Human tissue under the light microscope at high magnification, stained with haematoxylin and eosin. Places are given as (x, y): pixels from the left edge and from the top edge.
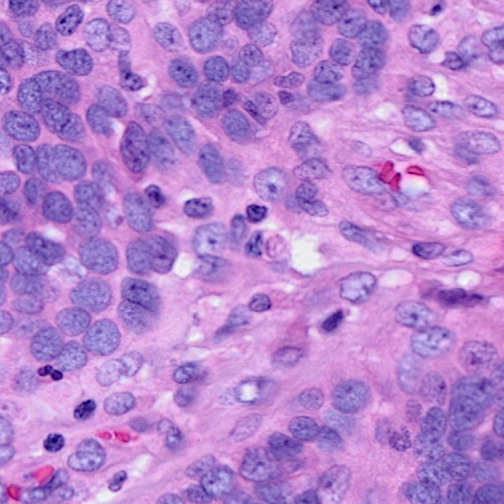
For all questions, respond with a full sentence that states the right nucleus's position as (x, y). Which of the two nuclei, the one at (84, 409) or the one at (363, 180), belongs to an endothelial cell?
The nucleus at (363, 180) is identified as belonging to an endothelial cell.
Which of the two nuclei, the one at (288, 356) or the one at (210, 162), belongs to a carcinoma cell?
The nucleus found at (210, 162) belongs to a carcinoma cell.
